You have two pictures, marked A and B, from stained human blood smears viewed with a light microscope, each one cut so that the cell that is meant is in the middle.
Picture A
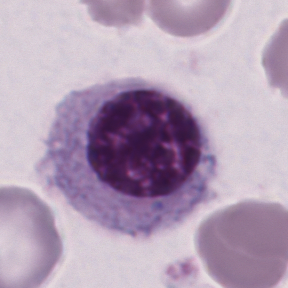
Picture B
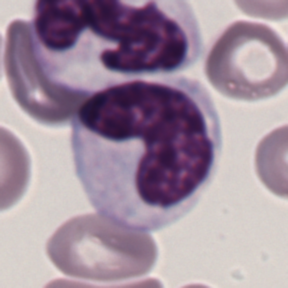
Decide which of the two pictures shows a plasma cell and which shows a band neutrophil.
A: plasma cell
B: band neutrophil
